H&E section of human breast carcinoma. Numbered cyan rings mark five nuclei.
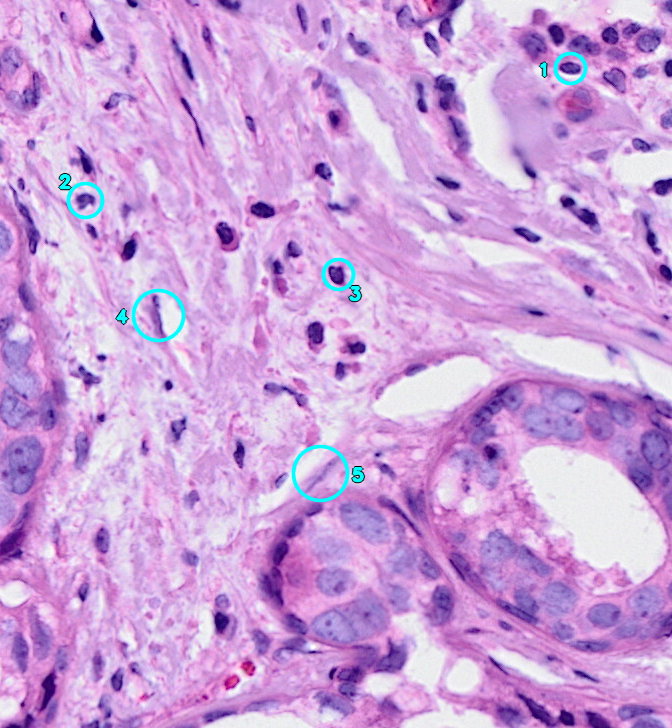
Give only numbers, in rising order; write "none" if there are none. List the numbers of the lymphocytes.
1, 2, 3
